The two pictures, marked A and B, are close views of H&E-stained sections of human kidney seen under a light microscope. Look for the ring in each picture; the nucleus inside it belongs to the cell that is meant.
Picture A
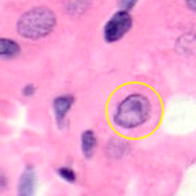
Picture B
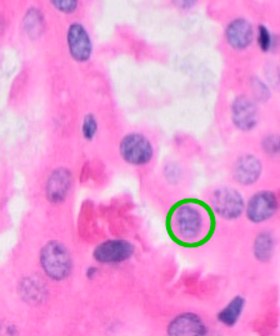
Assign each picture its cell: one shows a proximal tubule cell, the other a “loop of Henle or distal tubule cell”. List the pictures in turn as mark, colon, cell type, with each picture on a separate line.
A: proximal tubule cell
B: loop of Henle or distal tubule cell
